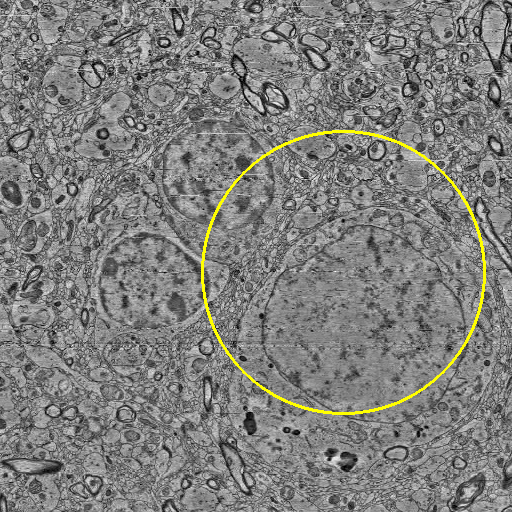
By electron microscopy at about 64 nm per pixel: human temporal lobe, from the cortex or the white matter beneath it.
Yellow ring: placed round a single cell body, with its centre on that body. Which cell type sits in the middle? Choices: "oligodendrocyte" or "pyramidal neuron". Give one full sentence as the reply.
It is a pyramidal neuron whose cell body sits at the centre of the yellow ring.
